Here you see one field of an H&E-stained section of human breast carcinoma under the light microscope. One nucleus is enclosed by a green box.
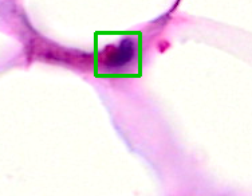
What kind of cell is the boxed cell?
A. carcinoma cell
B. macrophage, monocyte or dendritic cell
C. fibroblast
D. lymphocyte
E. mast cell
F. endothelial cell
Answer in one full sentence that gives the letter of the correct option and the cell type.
Option F names the boxed cell correctly as an endothelial cell.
